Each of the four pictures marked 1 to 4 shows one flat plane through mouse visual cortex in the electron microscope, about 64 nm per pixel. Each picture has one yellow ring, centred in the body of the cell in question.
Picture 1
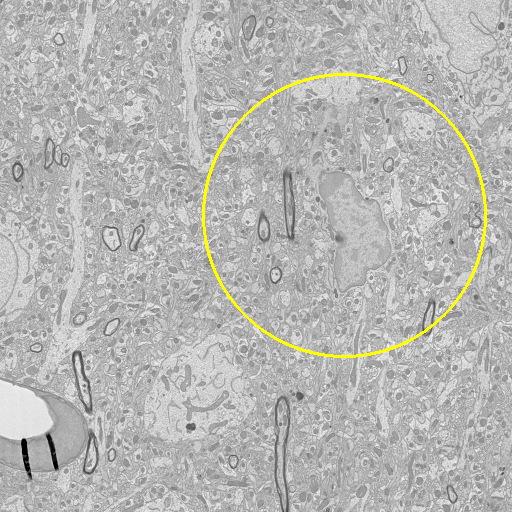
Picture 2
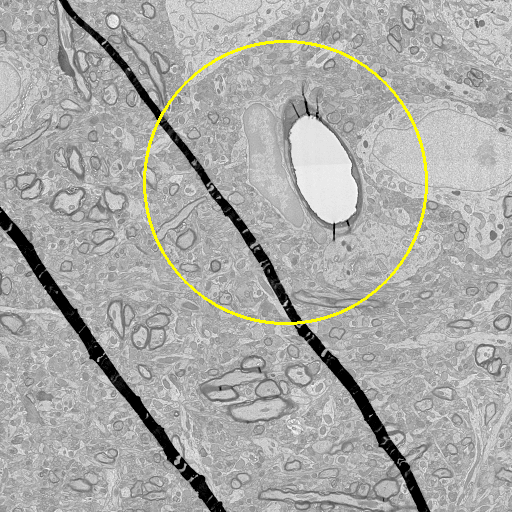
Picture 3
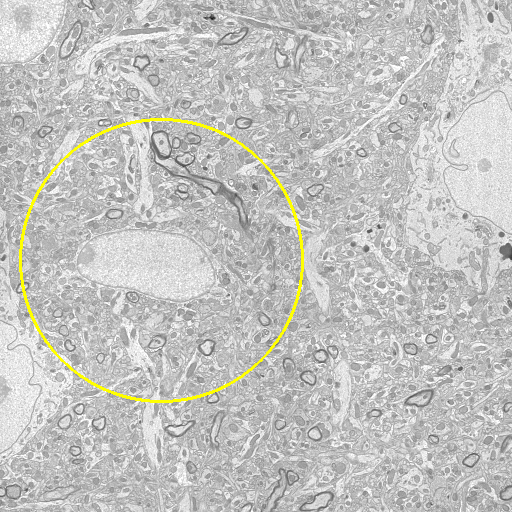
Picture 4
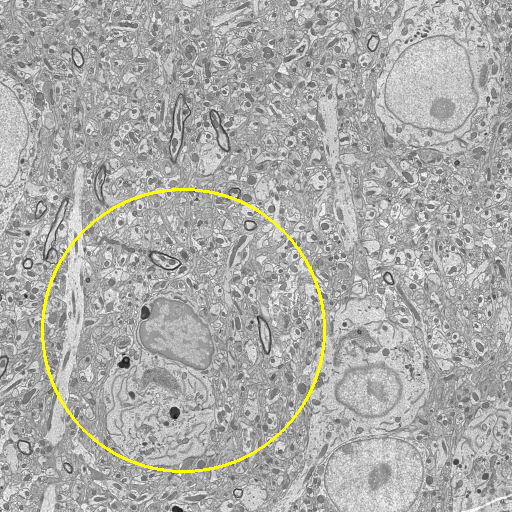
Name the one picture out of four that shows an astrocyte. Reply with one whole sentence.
Picture 3 shows the astrocyte.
